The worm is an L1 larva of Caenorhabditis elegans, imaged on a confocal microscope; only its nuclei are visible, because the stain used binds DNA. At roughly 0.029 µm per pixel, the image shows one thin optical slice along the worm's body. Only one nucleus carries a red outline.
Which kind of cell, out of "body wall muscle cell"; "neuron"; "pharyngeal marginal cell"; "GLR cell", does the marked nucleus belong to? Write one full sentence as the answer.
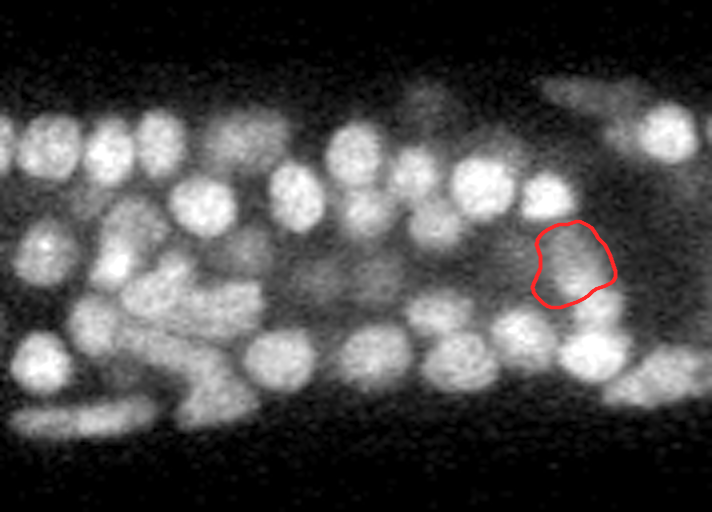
This is the nucleus of a GLR cell.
